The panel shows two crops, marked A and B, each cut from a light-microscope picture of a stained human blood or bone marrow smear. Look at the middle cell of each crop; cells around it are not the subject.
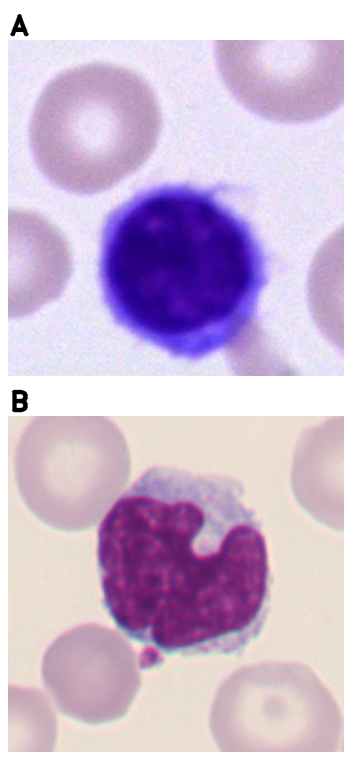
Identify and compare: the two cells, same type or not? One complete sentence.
Yes, both crops show lymphocytes as the central cells.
